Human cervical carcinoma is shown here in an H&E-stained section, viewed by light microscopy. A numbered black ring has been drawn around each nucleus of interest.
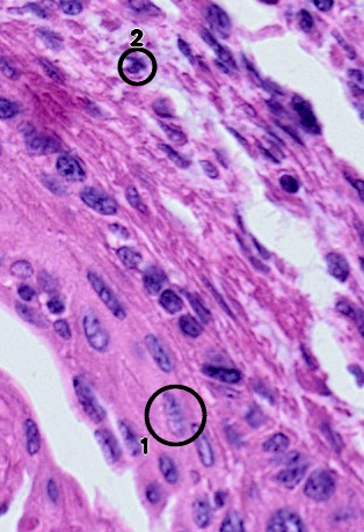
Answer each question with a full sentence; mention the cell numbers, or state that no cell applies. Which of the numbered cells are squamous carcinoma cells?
Only the cell numbered 1 is a squamous carcinoma cell, and the others are something else.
